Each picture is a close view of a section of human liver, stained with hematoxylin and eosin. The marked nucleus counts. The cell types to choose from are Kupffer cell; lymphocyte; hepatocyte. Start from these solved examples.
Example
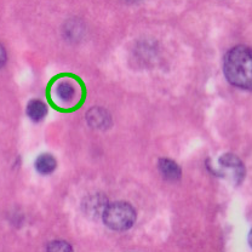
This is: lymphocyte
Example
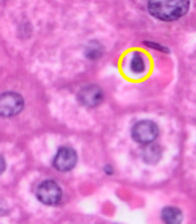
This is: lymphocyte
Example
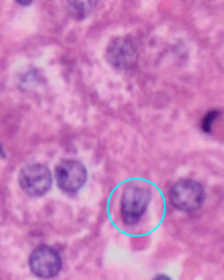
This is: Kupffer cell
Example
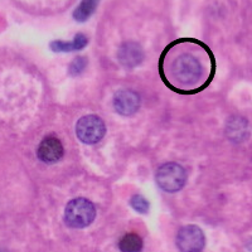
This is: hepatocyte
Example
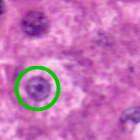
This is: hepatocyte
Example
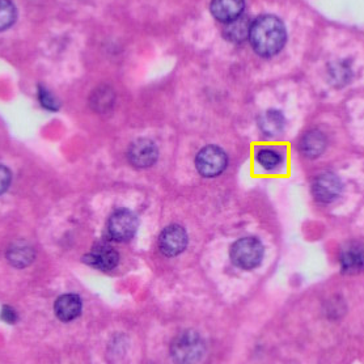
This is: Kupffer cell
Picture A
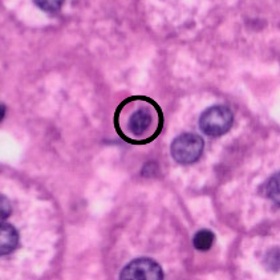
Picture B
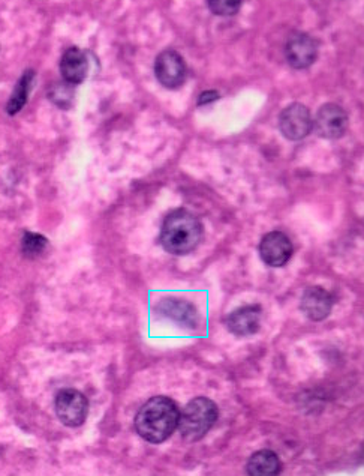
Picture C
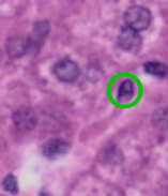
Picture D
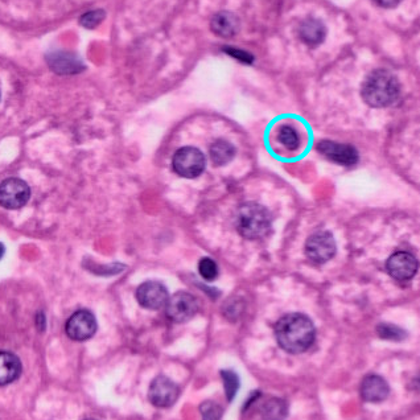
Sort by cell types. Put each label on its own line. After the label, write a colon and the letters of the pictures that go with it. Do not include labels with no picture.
Kupffer cell: B, C
lymphocyte: A, D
